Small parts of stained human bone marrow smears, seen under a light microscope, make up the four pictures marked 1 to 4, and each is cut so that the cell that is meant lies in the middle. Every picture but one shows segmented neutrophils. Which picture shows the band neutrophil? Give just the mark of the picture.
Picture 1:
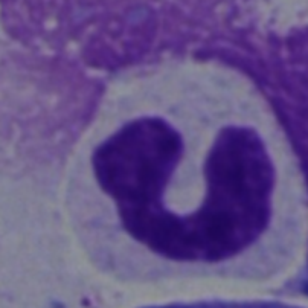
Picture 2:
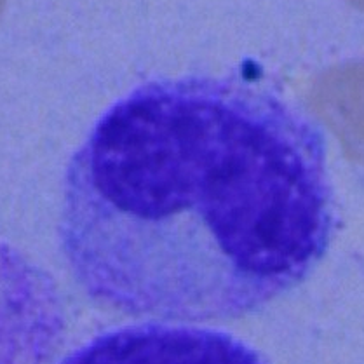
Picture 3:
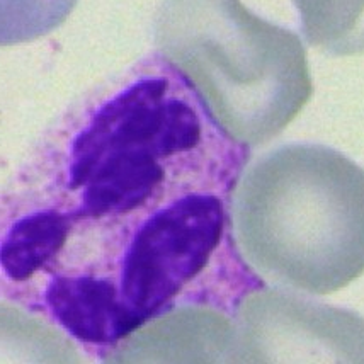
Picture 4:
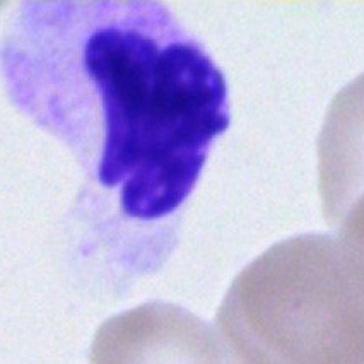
2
